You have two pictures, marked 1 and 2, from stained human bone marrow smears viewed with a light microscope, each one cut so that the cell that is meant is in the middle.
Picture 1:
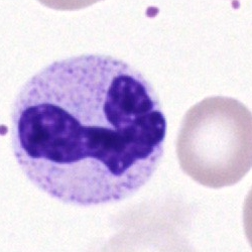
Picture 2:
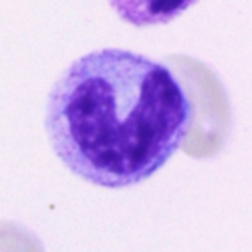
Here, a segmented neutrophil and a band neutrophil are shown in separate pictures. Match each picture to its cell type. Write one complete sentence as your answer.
Picture 1 is of a segmented neutrophil, and picture 2 is of a band neutrophil.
